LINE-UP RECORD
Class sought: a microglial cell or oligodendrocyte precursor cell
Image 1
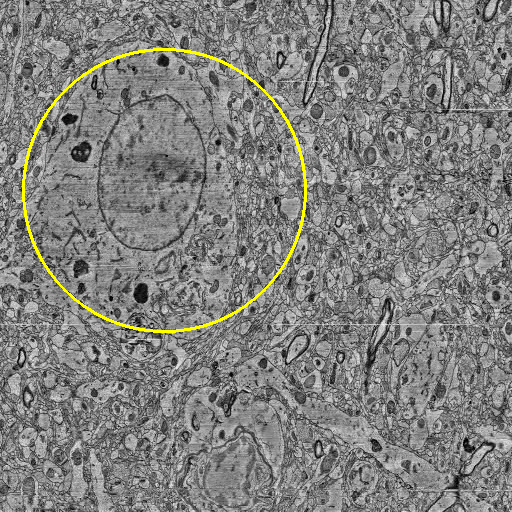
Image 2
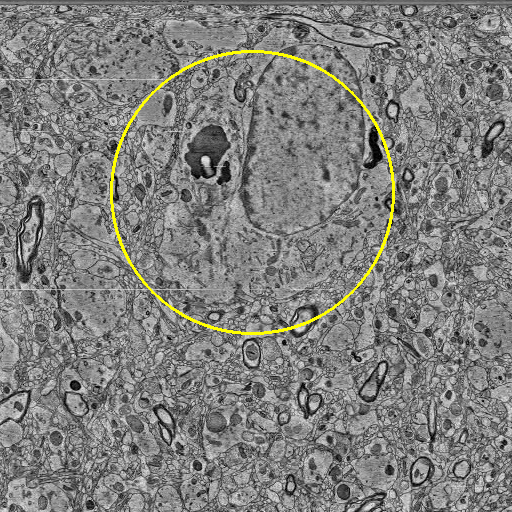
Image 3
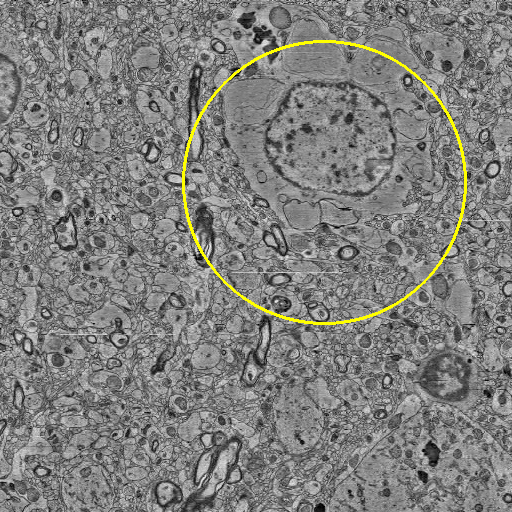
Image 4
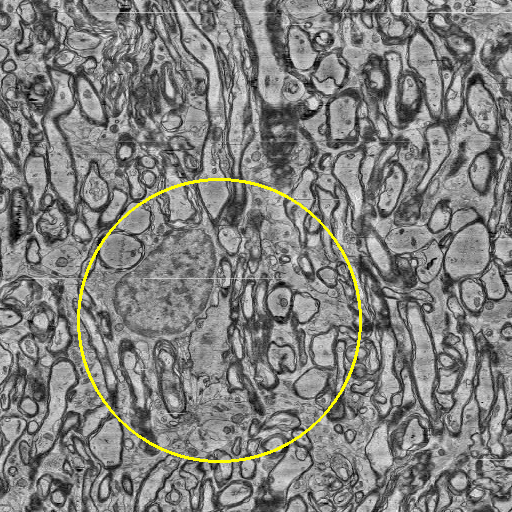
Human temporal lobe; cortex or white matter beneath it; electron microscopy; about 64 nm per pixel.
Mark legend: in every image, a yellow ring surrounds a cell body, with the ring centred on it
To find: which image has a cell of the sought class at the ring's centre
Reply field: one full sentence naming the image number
The ring-centred cell of image 2 belongs to the class sought.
